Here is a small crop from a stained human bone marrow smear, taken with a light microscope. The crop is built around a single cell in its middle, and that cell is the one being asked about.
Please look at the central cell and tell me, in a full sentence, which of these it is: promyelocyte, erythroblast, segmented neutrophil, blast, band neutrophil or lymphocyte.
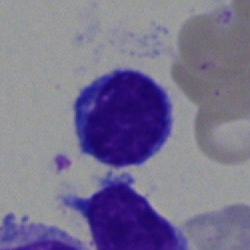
Answering briefly, the cell in the middle is a lymphocyte.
